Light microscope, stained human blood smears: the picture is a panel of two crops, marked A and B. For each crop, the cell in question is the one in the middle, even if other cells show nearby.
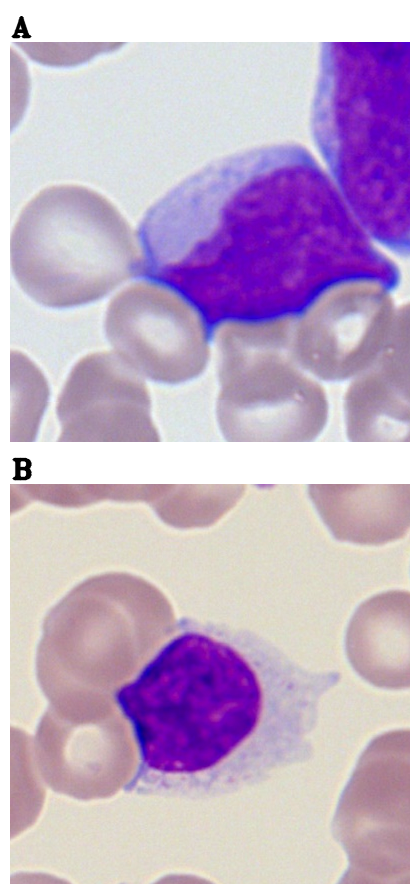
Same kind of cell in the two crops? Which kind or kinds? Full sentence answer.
No, it is in crop A that a blast is shown, and in crop B that a lymphocyte is shown.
